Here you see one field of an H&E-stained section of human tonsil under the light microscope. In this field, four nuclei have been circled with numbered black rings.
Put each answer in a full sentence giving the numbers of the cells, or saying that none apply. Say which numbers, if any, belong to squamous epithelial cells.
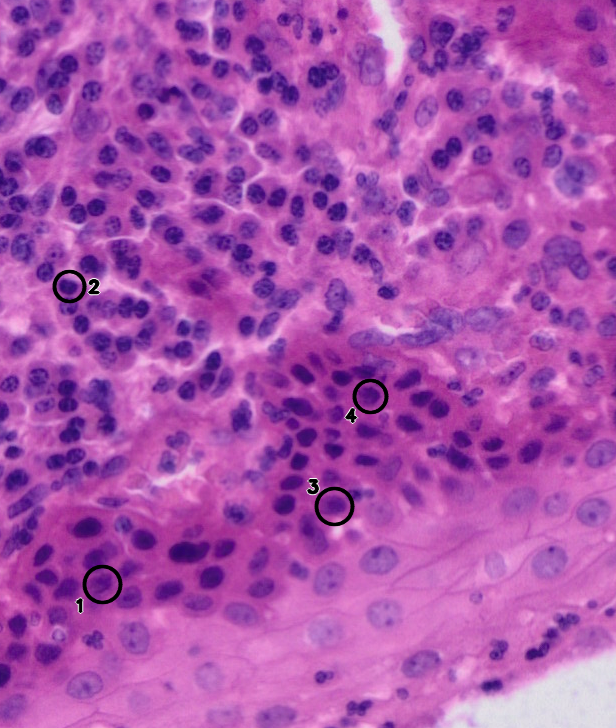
Cells 1, 3 and 4 are squamous epithelial cells by cell type.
